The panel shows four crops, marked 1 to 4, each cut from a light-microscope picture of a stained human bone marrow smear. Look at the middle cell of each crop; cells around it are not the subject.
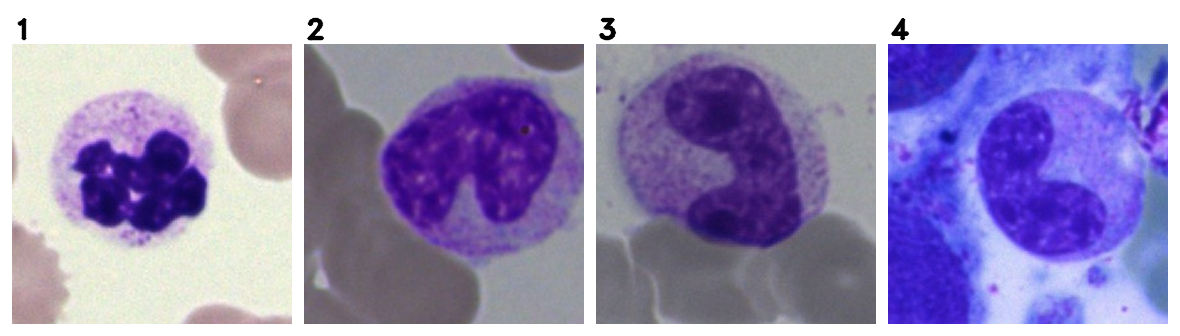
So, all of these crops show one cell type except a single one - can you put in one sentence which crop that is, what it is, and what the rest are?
Crop 1 does not fit, being a segmented neutrophil where all the others show band neutrophils.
